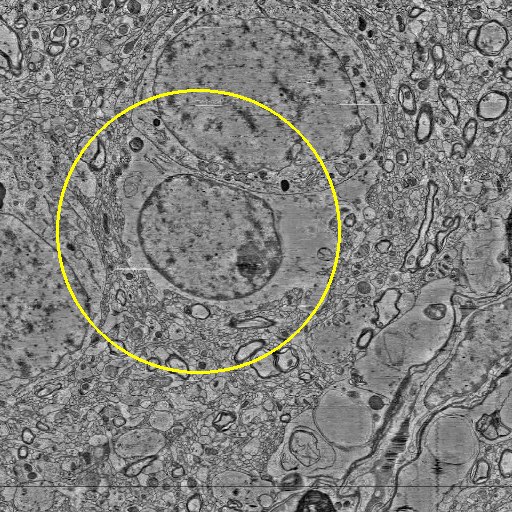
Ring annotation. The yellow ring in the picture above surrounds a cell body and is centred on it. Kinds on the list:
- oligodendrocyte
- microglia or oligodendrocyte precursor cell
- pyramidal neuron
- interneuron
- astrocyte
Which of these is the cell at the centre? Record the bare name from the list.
astrocyte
